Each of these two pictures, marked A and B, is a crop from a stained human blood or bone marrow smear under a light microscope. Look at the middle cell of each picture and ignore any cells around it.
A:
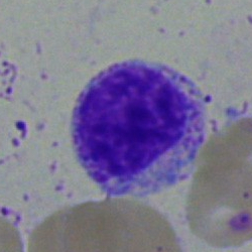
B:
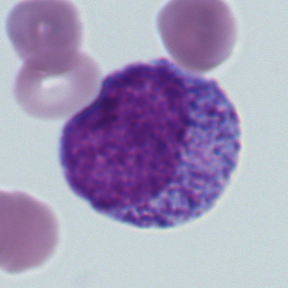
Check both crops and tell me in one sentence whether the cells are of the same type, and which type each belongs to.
Yes, myelocytes lie at the centre of both crops.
